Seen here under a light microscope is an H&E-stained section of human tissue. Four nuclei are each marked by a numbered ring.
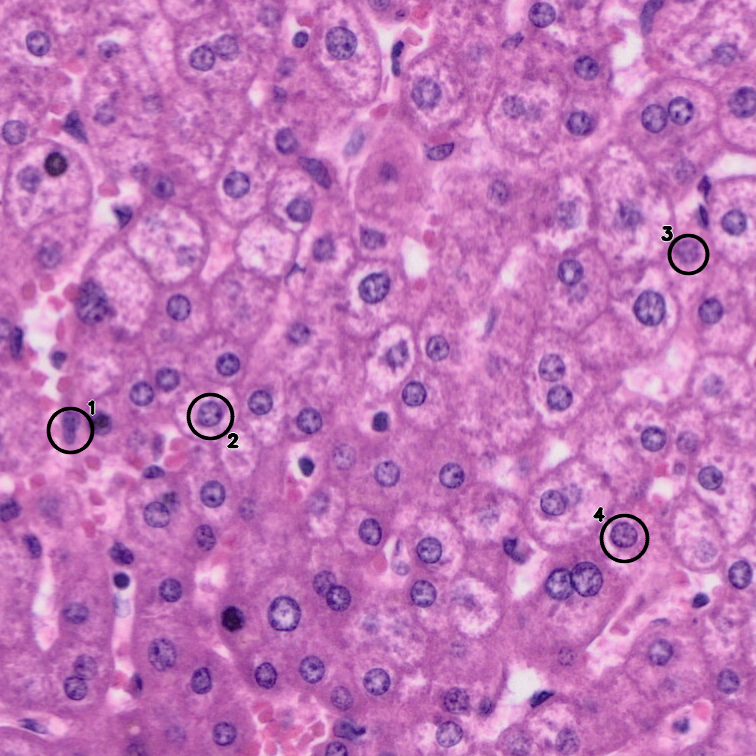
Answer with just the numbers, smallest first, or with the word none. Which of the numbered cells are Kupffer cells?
1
